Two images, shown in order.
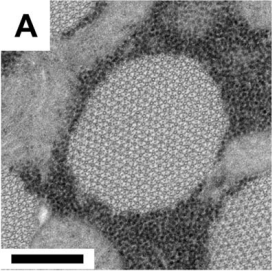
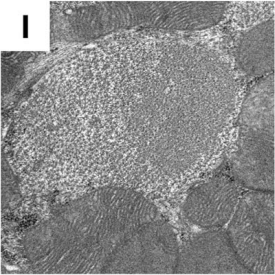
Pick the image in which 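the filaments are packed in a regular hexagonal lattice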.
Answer: The first image.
